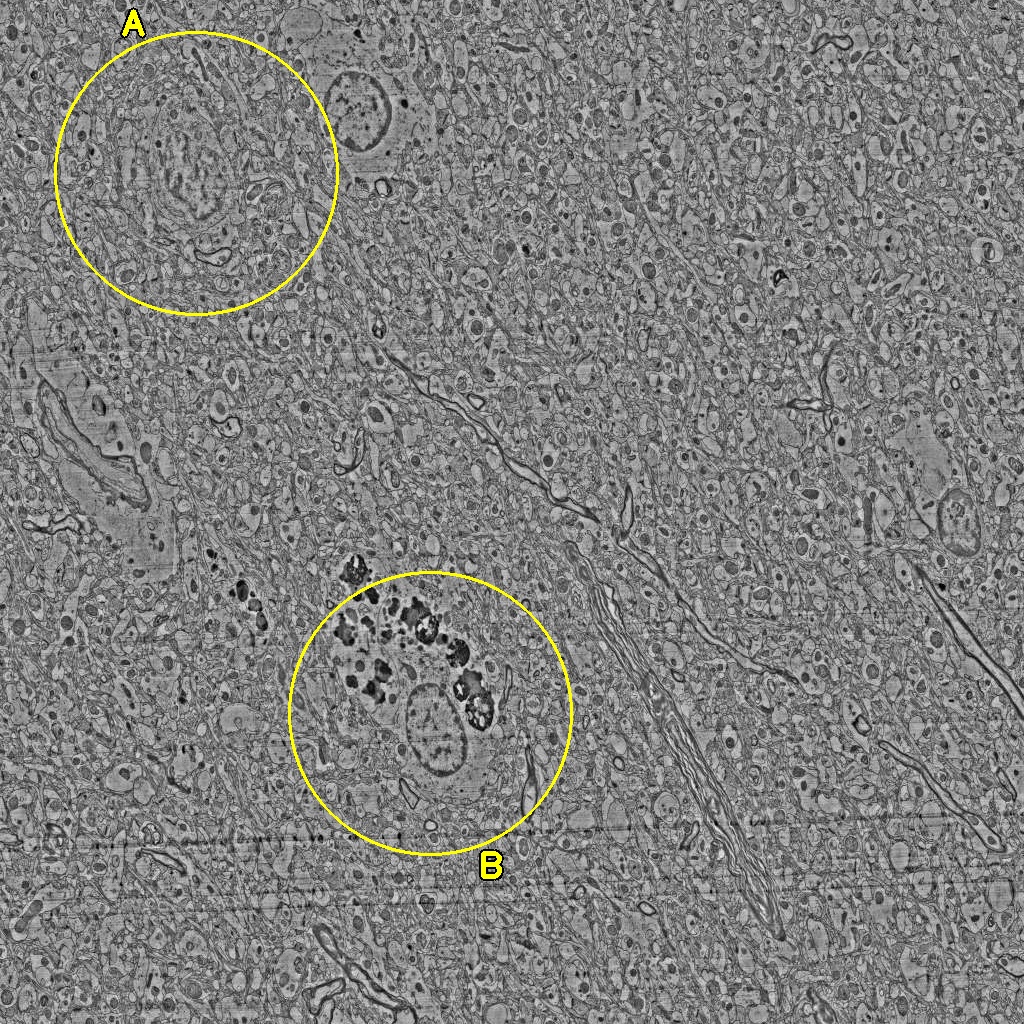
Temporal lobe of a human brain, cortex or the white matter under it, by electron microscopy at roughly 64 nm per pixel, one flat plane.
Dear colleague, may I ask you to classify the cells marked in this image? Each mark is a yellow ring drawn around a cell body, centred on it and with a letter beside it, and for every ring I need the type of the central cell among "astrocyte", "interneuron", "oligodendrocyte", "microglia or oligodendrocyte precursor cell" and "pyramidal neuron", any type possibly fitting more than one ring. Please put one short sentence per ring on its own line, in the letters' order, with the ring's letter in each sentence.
Ring A contains an interneuron at its centre.
Ring B contains an astrocyte at its centre.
